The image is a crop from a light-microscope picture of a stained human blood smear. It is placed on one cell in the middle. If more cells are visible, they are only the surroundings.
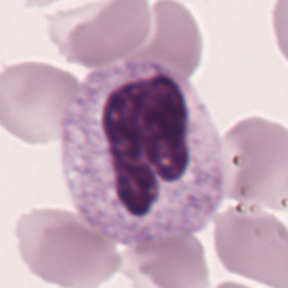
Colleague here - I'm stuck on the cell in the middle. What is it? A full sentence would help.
As for the cell in the middle, it is a neutrophil.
